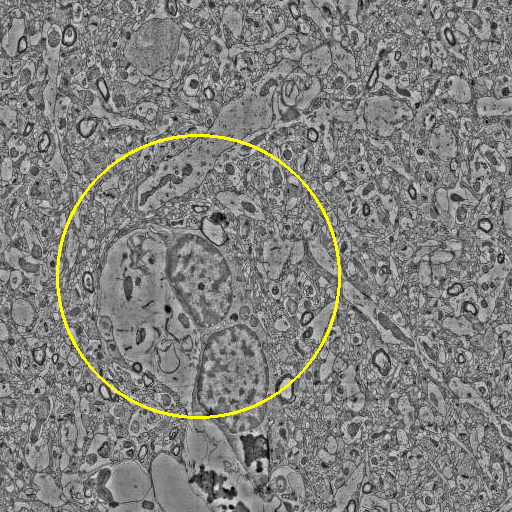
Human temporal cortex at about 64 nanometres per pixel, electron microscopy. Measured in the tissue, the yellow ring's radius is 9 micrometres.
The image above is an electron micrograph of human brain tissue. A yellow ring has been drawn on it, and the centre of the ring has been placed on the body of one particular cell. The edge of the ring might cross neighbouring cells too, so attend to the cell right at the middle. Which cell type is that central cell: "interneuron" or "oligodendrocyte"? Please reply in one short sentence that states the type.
The central cell in the ring is an oligodendrocyte.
